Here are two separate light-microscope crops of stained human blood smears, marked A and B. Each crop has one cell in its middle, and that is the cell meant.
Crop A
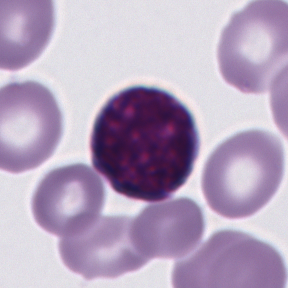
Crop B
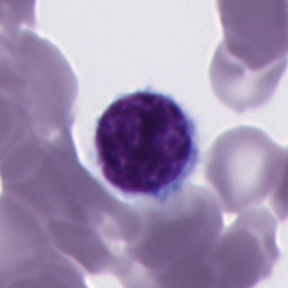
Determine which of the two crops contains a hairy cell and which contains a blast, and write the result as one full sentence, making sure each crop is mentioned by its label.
Crop A should be reported as a blast, and crop B as a hairy cell.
